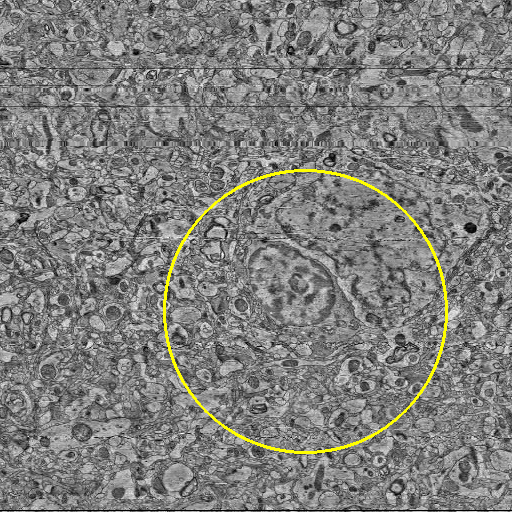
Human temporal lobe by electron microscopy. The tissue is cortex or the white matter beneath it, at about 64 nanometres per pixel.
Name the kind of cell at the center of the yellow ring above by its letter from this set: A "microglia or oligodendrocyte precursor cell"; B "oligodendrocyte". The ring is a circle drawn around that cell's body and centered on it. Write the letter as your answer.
B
